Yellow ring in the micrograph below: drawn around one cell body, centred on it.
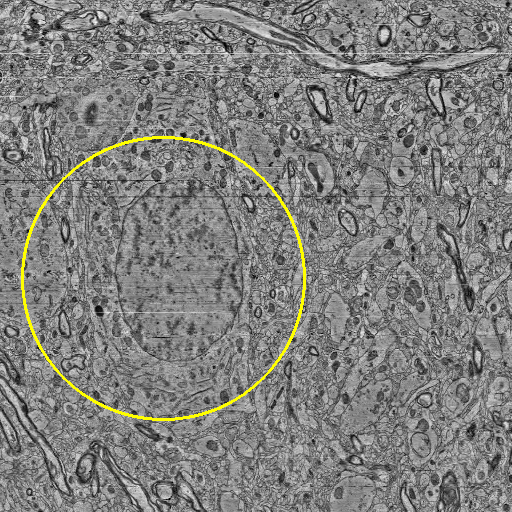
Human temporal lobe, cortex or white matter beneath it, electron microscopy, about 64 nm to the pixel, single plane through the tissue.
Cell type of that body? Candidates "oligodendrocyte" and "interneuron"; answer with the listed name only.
interneuron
